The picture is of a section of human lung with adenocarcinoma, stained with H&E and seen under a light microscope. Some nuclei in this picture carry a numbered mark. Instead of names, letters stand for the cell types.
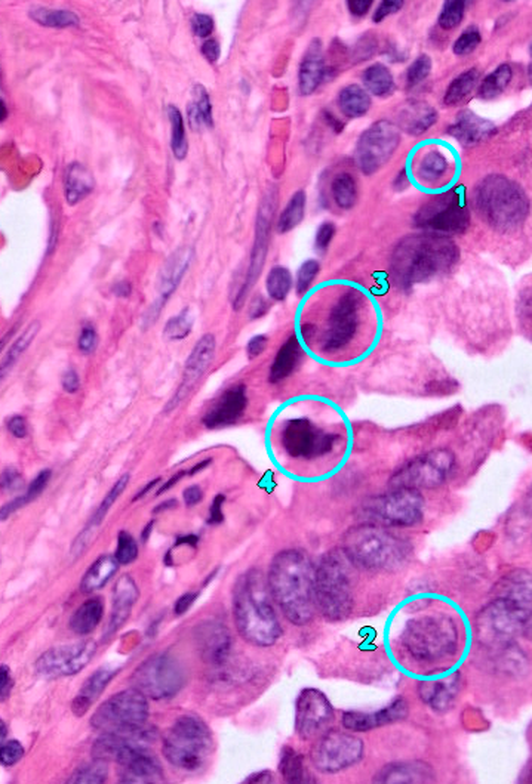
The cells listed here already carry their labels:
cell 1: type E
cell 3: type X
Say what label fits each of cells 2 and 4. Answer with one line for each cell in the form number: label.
2: type X
4: type X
